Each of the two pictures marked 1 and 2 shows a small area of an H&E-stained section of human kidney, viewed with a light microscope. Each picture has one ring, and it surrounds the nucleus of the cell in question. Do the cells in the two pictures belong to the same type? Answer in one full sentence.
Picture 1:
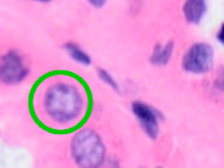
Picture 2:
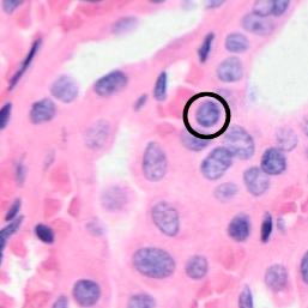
No, the types are not the same, since picture 1 shows a proximal tubule cell and picture 2 a collecting duct cell.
